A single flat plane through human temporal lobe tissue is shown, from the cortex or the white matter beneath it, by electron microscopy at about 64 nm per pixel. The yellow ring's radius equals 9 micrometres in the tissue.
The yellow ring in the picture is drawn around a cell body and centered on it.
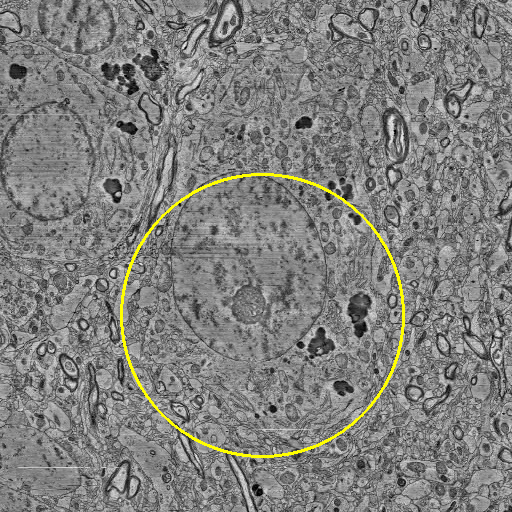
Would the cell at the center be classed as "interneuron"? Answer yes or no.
Yes, it belongs to that class.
